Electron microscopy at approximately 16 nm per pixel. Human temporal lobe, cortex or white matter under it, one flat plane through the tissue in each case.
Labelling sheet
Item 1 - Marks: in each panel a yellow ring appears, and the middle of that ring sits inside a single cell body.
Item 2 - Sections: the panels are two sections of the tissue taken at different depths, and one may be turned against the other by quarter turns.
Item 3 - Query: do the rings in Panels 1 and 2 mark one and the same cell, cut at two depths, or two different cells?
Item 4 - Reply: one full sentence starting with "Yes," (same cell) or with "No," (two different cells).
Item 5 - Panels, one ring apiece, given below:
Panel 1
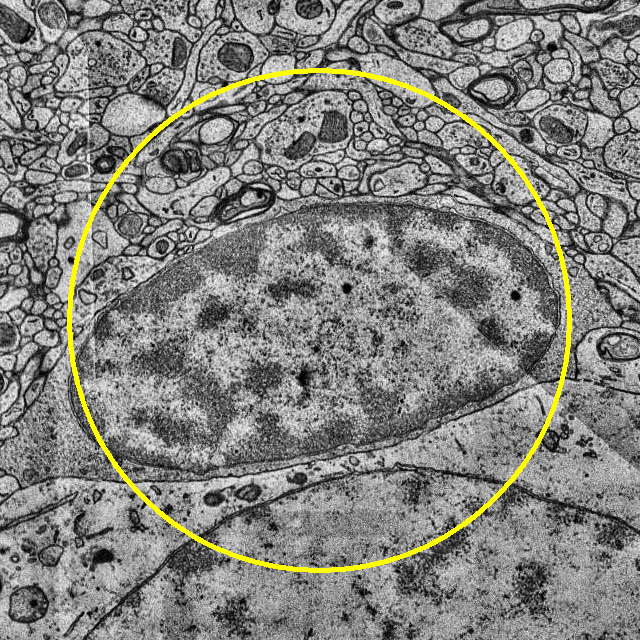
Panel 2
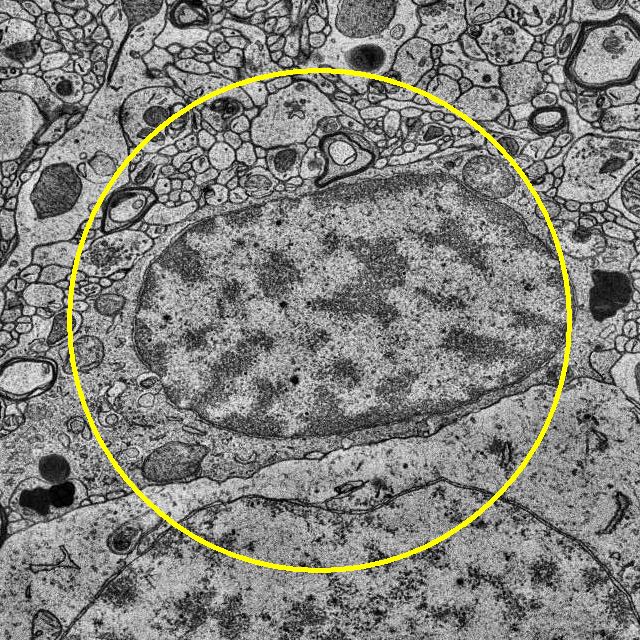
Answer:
No, in this micrograph the two rings mark two different cells.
